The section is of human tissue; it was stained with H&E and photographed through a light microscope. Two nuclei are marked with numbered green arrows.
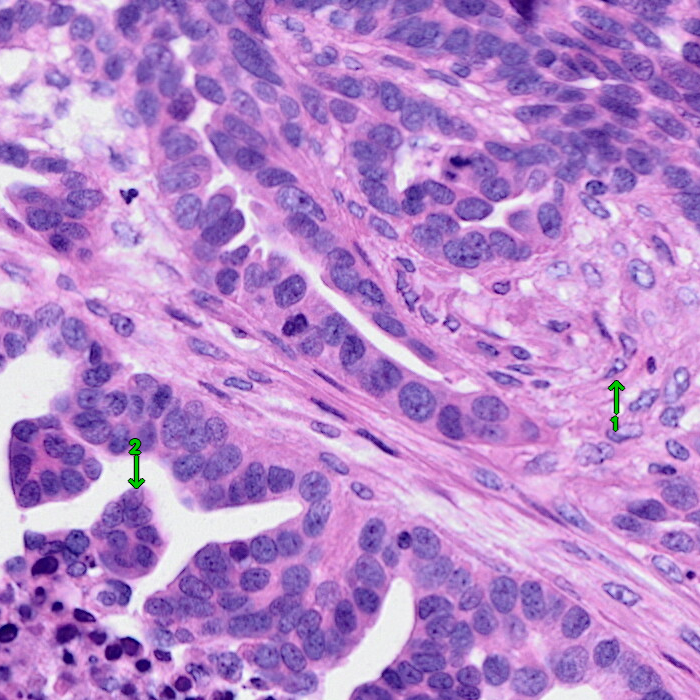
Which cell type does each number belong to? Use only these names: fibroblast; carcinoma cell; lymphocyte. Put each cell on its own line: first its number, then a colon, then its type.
1: fibroblast
2: carcinoma cell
